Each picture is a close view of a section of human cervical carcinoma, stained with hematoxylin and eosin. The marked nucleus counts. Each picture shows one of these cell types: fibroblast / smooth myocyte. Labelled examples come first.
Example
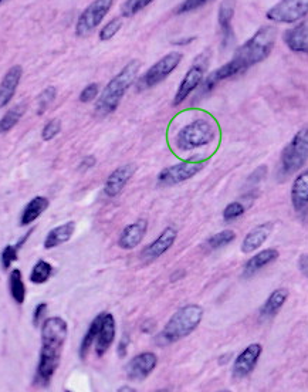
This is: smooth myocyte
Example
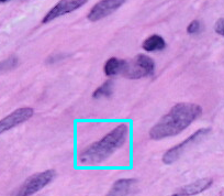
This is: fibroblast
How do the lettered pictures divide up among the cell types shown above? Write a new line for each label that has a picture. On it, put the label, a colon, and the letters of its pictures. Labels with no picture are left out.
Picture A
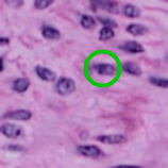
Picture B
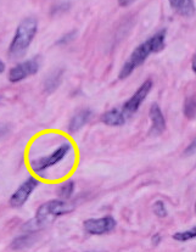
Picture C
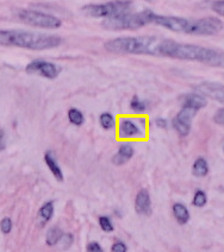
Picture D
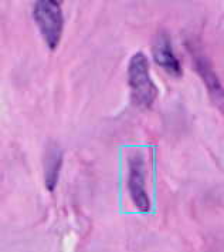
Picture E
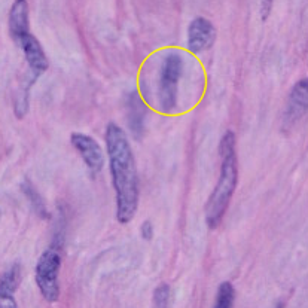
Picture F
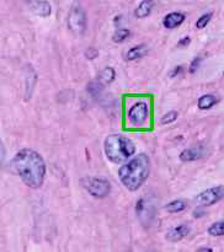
fibroblast: D
smooth myocyte: A, B, C, E, F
